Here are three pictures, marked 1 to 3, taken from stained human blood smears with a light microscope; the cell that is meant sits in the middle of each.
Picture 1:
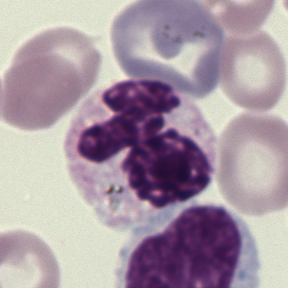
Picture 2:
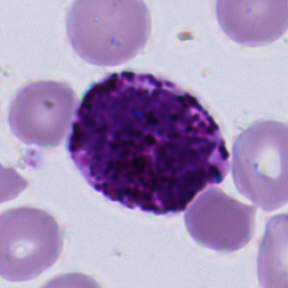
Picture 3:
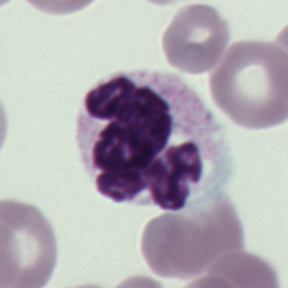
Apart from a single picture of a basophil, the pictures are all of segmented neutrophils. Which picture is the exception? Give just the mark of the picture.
2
